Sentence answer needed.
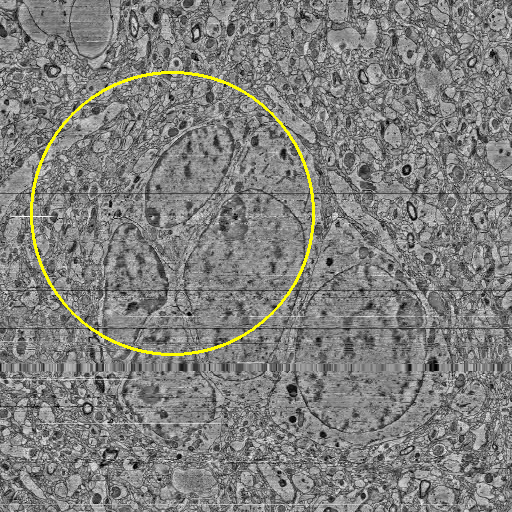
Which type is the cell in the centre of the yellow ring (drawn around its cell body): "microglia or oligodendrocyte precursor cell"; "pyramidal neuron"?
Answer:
In the centre of the yellow ring is a microglial cell or oligodendrocyte precursor cell.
